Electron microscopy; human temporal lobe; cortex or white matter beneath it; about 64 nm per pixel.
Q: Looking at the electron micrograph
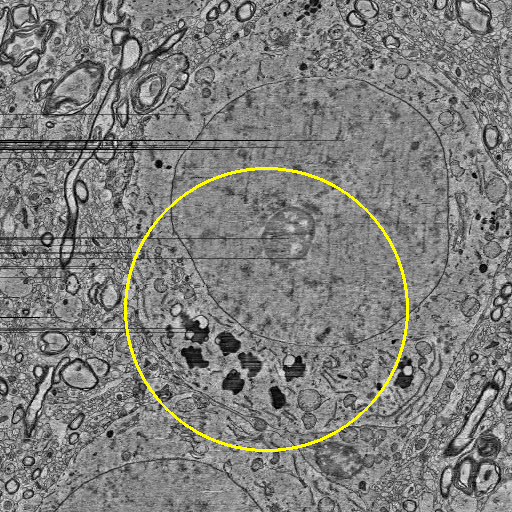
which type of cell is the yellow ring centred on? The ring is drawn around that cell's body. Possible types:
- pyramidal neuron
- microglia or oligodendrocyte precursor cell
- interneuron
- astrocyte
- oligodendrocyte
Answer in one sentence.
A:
The yellow ring is centred on a pyramidal neuron.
